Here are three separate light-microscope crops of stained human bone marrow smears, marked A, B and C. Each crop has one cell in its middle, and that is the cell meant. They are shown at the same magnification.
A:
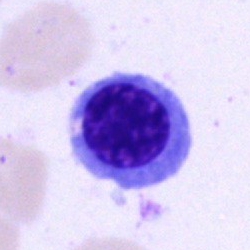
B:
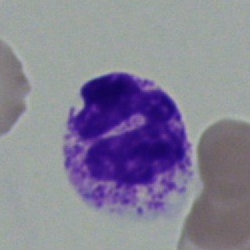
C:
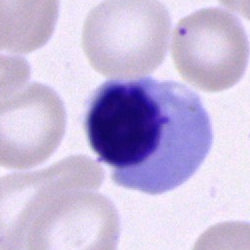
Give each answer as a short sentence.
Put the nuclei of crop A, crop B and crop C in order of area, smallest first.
Going up, they run C, A, B.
